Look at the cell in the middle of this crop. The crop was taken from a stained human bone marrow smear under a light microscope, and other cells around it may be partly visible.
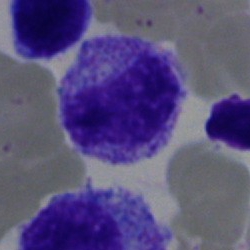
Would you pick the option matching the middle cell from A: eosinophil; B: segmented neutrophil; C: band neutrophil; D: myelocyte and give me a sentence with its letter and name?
Answer key: option D, the middle cell being a myelocyte.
